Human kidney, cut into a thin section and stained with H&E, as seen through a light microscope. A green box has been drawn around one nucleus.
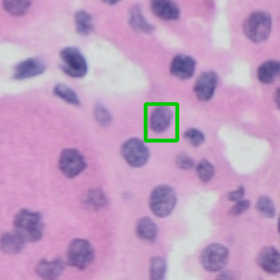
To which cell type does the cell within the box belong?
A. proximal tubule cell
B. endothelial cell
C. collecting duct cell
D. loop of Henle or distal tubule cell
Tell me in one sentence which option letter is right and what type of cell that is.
Option C is right, and the cell within the box is a collecting duct cell.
